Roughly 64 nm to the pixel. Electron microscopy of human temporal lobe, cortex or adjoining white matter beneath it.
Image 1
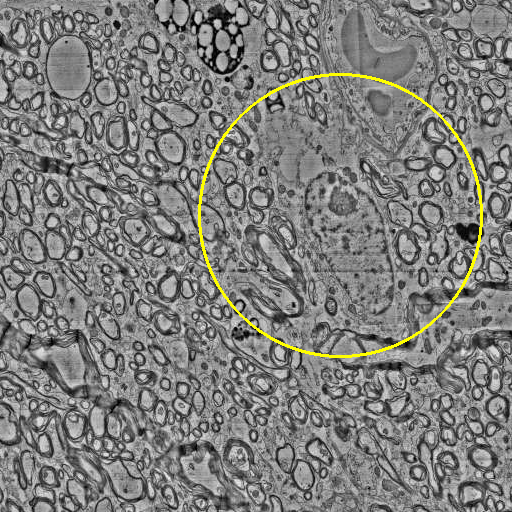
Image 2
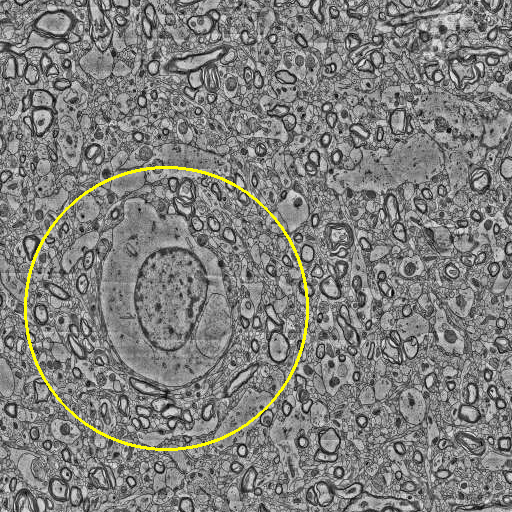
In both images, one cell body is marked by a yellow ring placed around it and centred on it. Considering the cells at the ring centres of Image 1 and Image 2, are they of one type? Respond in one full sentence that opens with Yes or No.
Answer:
Yes, a single type applies to the ring-centred cells of both Image 1 and Image 2.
